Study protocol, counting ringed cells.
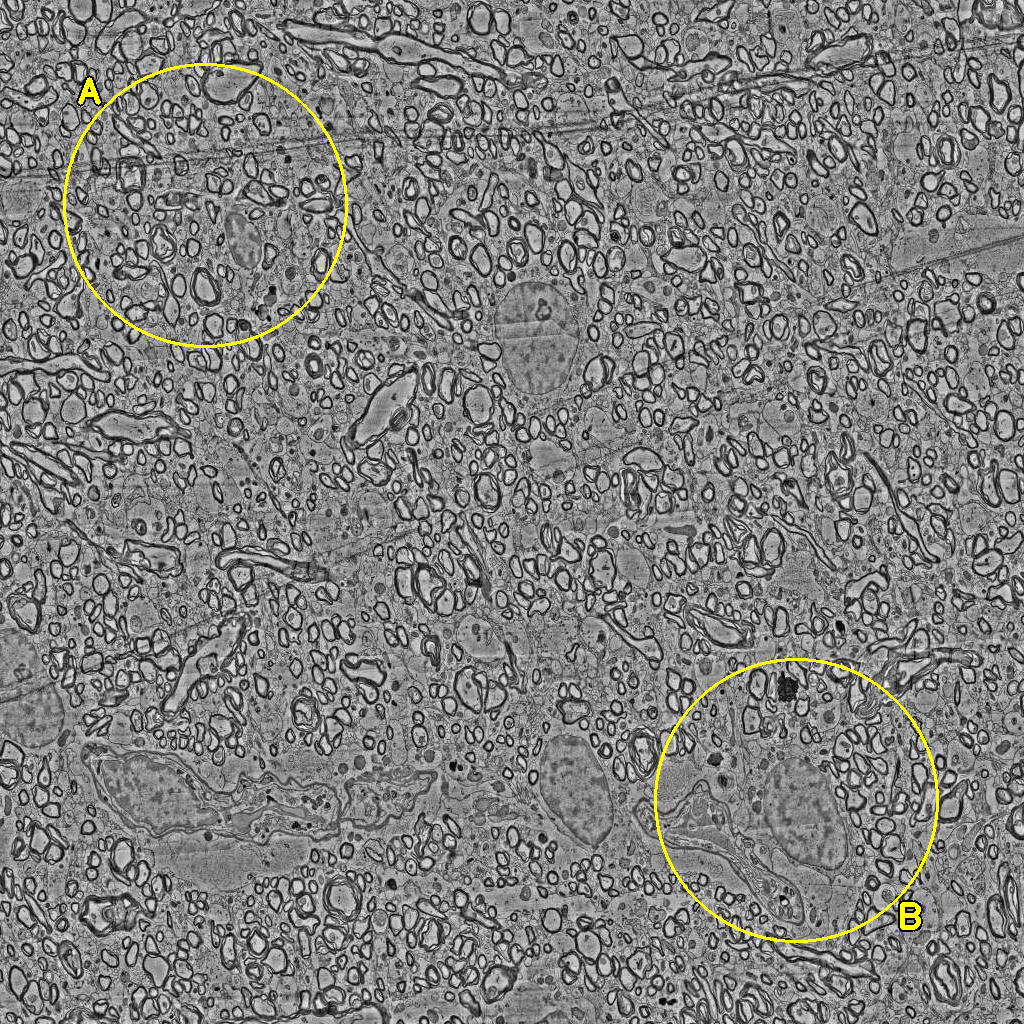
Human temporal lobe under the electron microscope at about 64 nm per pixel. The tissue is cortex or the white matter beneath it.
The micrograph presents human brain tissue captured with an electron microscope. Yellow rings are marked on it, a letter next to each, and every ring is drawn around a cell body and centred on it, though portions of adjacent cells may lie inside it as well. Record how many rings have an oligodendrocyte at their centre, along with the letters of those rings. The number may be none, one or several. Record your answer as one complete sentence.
Just one ring encircles an oligodendrocyte at its centre, and that ring is marked B.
